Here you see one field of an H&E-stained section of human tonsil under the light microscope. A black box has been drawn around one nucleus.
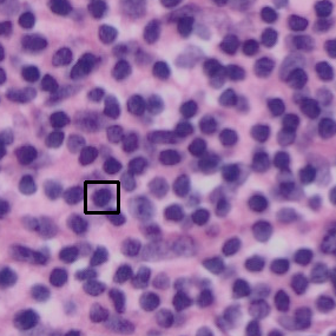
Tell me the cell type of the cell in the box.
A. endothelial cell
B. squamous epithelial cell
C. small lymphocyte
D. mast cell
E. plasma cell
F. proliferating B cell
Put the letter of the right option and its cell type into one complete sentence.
Option C names it right: the cell in the box is a small lymphocyte.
